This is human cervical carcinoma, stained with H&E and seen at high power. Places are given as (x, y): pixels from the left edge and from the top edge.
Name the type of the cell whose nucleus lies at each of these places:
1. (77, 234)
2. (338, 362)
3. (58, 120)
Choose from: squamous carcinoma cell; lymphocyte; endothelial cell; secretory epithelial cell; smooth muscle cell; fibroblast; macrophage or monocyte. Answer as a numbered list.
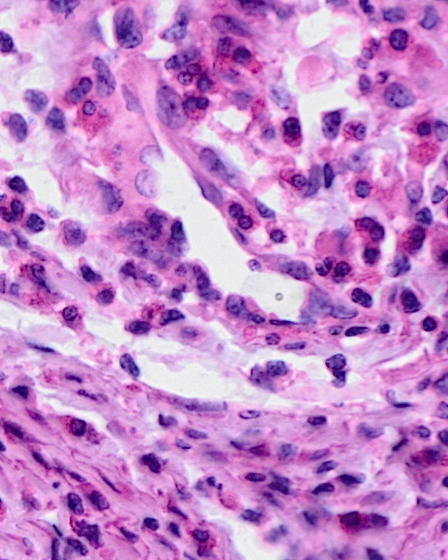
1. macrophage or monocyte
2. lymphocyte
3. lymphocyte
